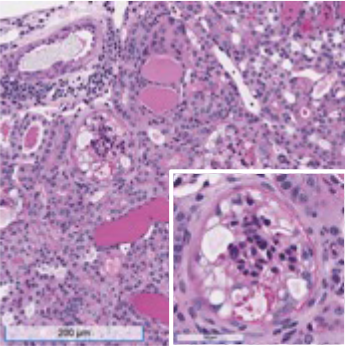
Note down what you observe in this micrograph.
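This is kidney tissue with glomeruli and tubules, several tubules widened and filled with homogeneous pink material, and dense purple nuclei of cells crowded in the interstitium. The inset shows a glomerulus within its capsule whose tuft is shrunken and vacuolated, with clear spaces among the nuclei.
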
